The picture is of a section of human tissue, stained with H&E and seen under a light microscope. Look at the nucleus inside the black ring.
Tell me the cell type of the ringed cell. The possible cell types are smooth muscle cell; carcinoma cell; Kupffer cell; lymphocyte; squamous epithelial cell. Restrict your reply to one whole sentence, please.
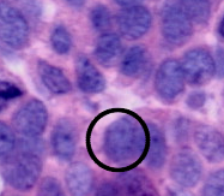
With respect to cell type, the ringed cell is a carcinoma cell.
